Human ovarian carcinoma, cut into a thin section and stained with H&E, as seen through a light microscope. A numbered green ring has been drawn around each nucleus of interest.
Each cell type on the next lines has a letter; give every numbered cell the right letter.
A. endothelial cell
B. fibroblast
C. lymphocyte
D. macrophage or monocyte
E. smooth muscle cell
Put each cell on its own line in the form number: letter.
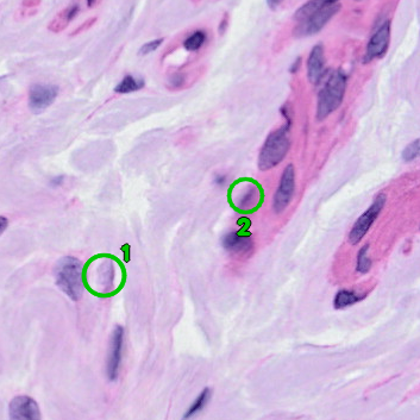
1: B
2: E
